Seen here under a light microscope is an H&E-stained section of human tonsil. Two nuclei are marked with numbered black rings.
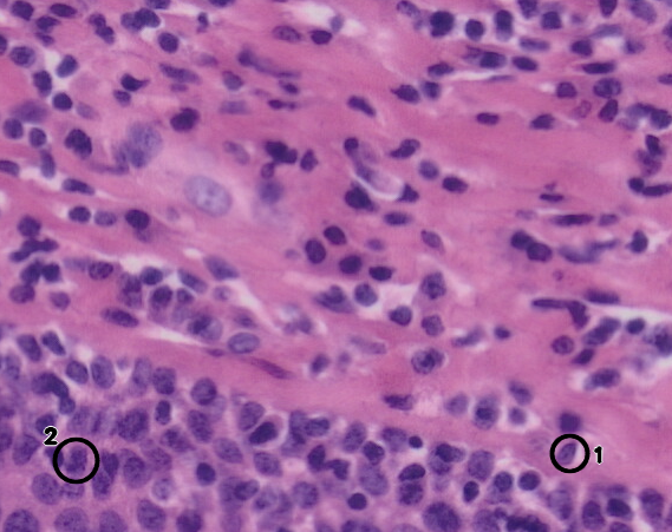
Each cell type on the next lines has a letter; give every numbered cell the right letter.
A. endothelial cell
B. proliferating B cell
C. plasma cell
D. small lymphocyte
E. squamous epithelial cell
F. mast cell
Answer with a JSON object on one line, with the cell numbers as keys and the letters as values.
{"1": "A", "2": "E"}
